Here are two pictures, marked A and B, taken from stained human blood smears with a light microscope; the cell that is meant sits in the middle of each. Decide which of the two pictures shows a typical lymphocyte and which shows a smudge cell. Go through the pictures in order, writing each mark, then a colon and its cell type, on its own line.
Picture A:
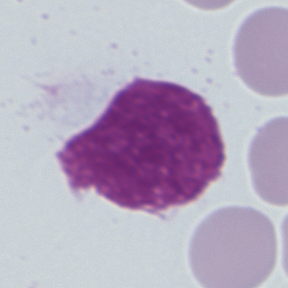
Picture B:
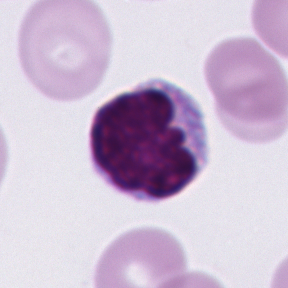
A: smudge cell
B: typical lymphocyte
